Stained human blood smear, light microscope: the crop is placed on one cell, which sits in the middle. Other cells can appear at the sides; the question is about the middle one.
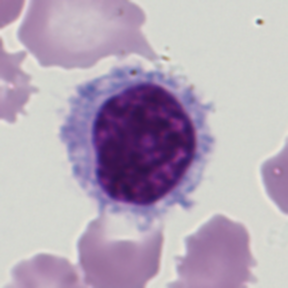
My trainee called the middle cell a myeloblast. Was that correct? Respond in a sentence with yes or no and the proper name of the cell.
No, the cell sitting in the centre of the crop is a hairy cell, not a myeloblast.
